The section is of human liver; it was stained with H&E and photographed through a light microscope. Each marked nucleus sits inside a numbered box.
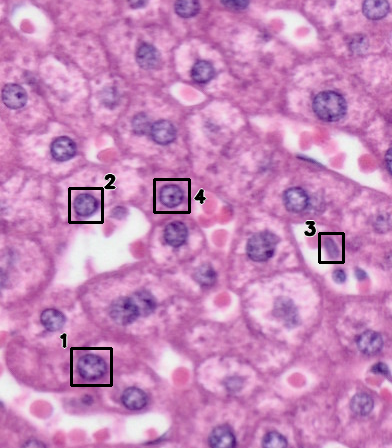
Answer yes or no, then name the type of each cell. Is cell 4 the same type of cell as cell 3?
No, rather, cell 4 is a hepatocyte and cell 3 is a Kupffer cell.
